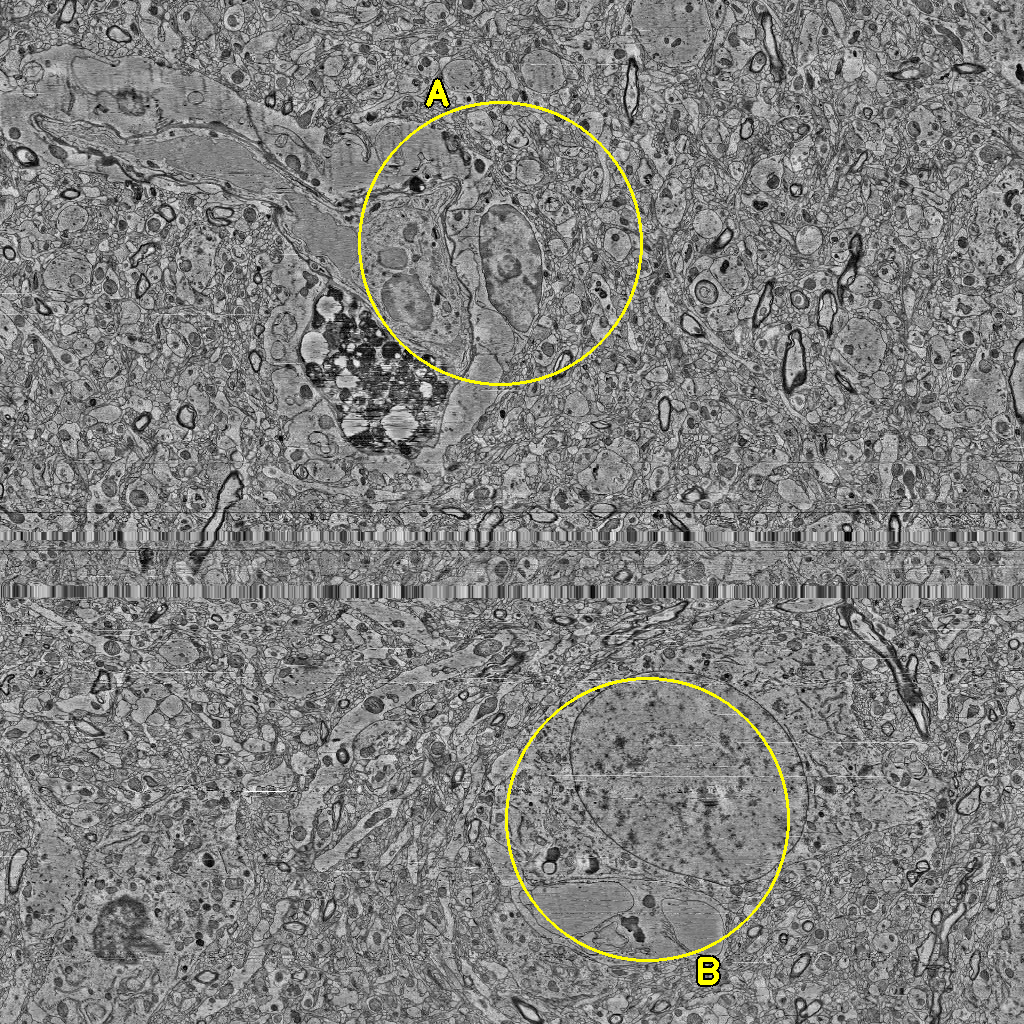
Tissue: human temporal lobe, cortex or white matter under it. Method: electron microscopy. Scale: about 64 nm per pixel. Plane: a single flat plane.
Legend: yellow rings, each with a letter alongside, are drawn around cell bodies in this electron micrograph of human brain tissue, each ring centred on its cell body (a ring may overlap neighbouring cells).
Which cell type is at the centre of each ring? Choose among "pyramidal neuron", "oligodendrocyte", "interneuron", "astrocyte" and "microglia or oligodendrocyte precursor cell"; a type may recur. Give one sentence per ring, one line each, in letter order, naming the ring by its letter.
Ring A has a microglial cell or oligodendrocyte precursor cell at its centre.
Ring B has a pyramidal neuron at its centre.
